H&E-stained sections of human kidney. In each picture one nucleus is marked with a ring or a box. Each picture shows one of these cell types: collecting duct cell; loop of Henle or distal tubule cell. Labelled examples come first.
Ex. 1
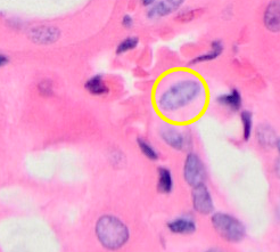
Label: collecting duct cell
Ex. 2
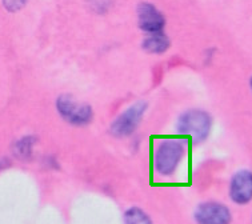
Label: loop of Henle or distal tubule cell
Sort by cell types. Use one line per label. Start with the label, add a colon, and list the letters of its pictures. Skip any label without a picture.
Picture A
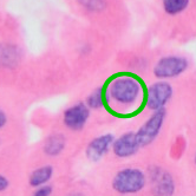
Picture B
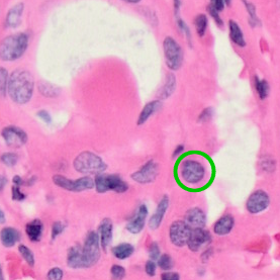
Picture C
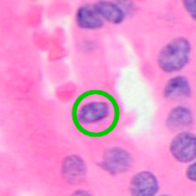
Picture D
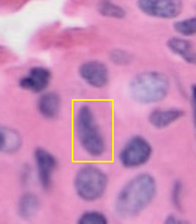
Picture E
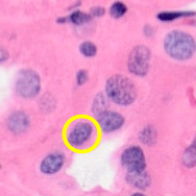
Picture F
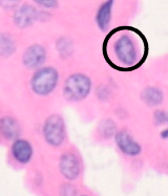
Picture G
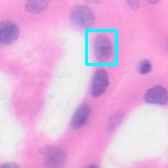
collecting duct cell: A, C, D, E
loop of Henle or distal tubule cell: B, F, G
